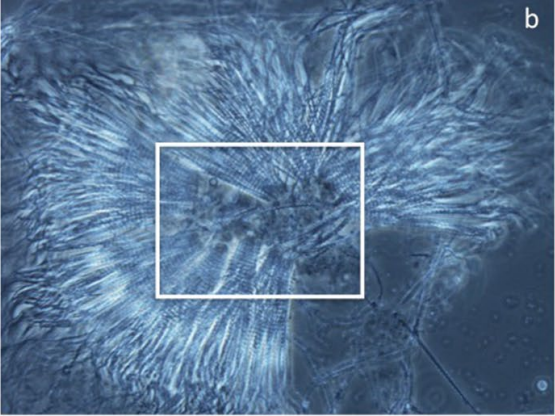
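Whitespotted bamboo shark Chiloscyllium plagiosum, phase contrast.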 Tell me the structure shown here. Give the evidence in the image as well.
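Spermatozeugma. Numerous sperm radiate outward from a common centre. Striated, coiled heads form a rosette around the centre. Tails extend outward at the periphery.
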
